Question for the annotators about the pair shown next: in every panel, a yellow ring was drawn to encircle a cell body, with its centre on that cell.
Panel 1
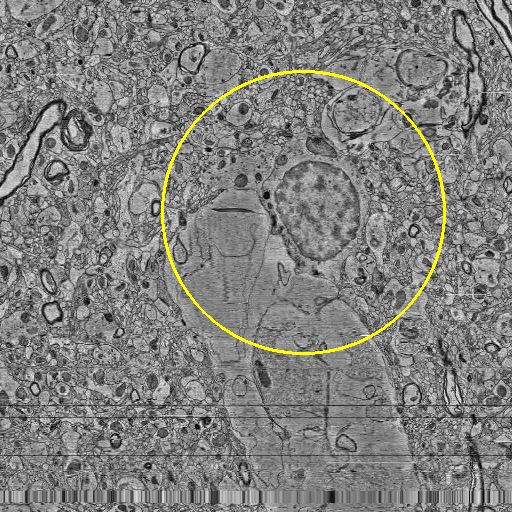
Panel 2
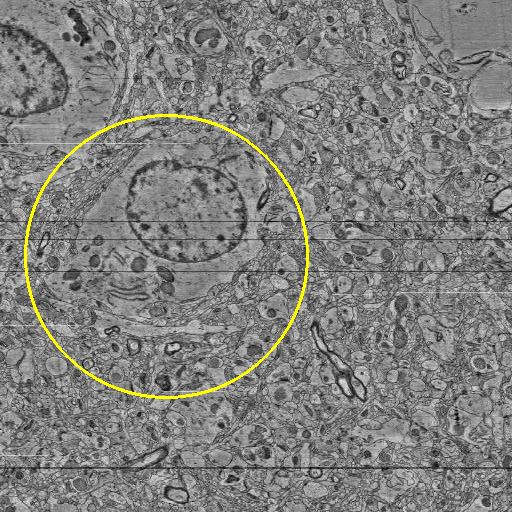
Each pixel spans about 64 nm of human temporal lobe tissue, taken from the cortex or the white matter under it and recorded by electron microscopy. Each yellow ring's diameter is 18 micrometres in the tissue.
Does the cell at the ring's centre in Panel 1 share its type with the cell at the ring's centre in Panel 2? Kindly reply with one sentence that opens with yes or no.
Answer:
No, in Panels 1 and 2 the cells at the ring centres belong to separate types.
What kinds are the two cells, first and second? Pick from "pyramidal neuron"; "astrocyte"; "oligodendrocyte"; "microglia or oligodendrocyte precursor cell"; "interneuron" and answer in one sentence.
The second picture holds an astrocyte in its ring, and the first holds an oligodendrocyte.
